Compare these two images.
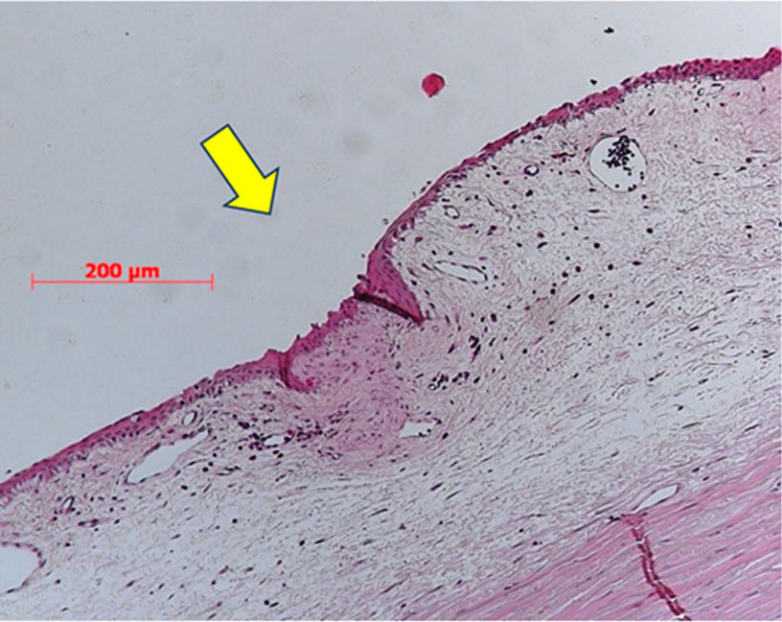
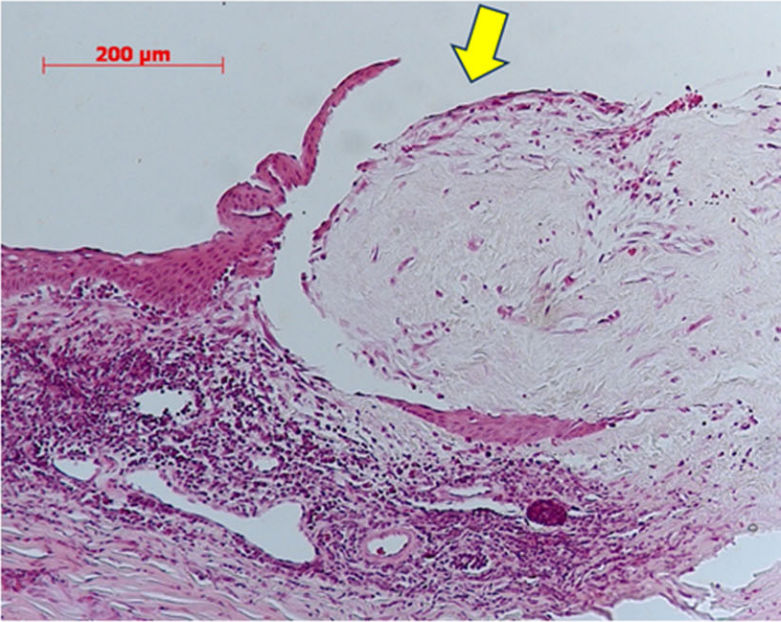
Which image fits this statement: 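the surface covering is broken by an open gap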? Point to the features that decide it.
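Second image: the pink surface epithelium ends in a folded flap, and an empty space separates it from the tissue beside it. First image: a continuous pink epithelial layer runs over the surface, with only a step-like dip and no open gap.
Hence: the second image.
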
